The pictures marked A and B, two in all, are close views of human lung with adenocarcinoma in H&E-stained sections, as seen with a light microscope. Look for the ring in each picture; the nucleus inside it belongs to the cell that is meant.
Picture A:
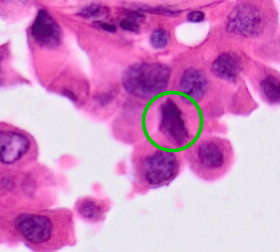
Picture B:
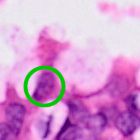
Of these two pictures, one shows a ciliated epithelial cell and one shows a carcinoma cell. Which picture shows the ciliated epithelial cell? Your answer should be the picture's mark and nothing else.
B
